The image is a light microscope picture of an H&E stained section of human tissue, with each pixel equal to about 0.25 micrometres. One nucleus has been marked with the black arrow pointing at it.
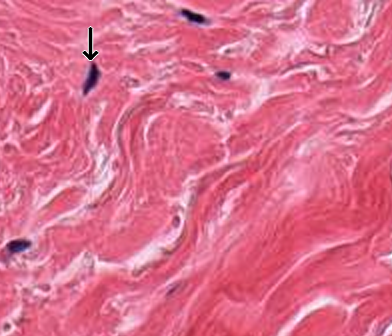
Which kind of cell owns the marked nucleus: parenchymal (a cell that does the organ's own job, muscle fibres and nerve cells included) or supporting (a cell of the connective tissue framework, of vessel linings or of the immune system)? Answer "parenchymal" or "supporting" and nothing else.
supporting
